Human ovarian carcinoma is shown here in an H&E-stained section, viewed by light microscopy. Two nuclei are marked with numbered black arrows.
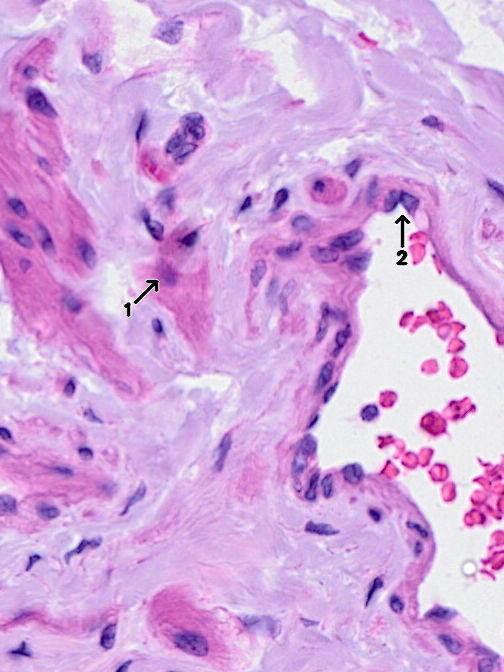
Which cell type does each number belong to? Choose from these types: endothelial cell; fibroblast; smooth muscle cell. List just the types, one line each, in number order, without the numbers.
smooth muscle cell
endothelial cell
